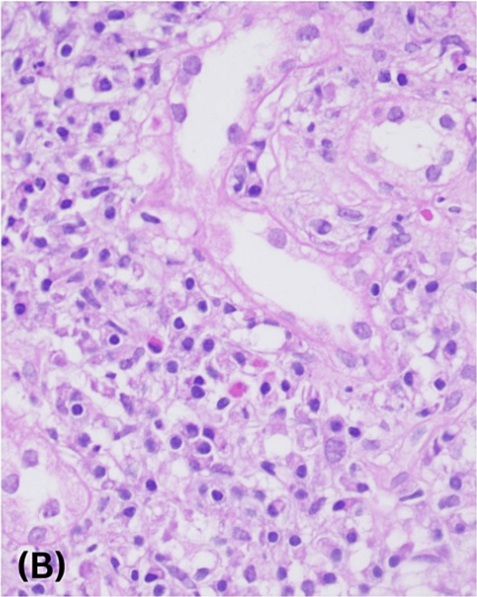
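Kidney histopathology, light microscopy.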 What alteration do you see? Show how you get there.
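Round cells with eccentric nuclei and purple cytoplasm fill the space between tubules. Small round dark lymphocytes are mixed among them. A few cells with bright red granules are scattered in the infiltrate. The answer: dense chronic interstitial inflammation.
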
